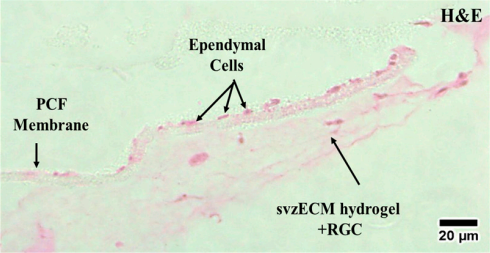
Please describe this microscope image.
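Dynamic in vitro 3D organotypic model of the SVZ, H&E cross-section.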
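On the other side, a loose, faintly pink, fibrillar gel contains scattered elongated cells with dark nuclei. Much of the field is a pale, cell-free background.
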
